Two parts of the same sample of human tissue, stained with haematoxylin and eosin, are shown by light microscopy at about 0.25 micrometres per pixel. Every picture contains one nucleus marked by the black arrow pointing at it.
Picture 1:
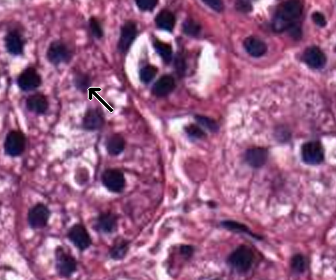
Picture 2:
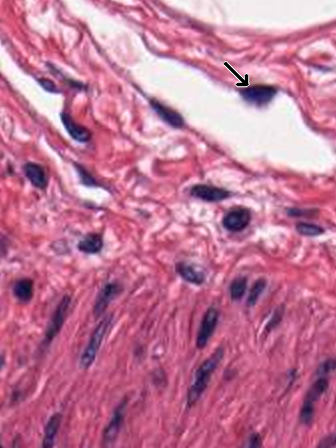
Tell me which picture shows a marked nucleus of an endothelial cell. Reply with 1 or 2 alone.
2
